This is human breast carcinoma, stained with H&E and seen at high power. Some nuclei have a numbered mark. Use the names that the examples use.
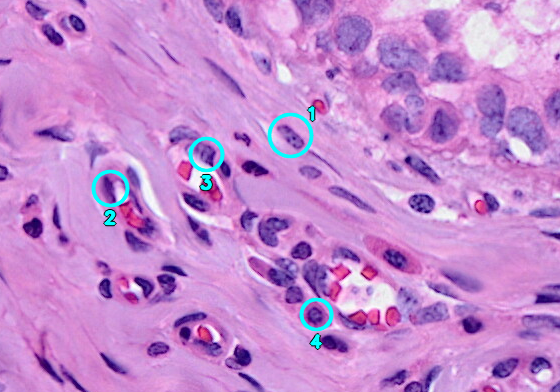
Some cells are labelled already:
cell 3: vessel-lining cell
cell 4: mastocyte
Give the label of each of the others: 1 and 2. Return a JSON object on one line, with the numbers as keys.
{"1": "mastocyte", "2": "vessel-lining cell"}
